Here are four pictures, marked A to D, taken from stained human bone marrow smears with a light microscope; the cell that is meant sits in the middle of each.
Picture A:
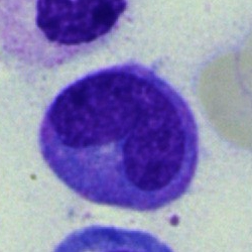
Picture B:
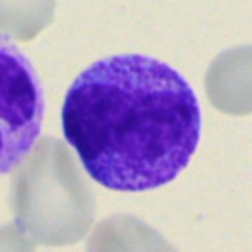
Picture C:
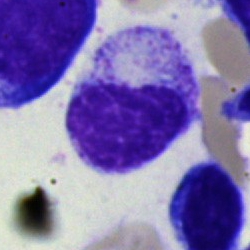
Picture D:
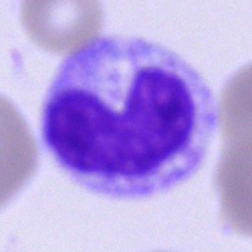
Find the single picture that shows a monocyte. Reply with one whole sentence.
The cell in picture A is the monocyte.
